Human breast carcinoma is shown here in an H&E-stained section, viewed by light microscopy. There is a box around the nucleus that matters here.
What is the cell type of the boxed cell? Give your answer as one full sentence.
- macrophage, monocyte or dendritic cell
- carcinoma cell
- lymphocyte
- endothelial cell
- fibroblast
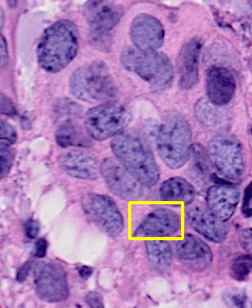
The boxed cell appears to be a carcinoma cell.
